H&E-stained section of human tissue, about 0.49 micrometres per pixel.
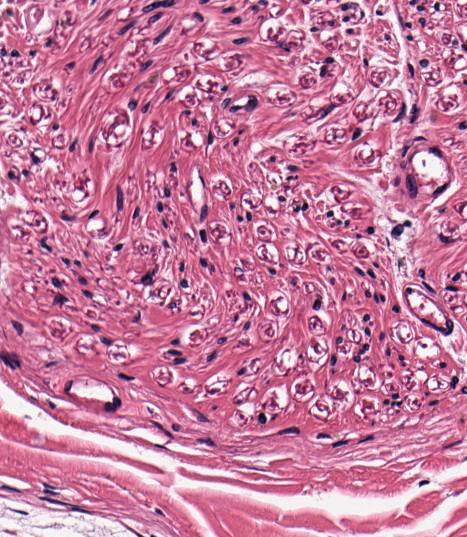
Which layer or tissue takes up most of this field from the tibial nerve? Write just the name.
nerve fascicle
